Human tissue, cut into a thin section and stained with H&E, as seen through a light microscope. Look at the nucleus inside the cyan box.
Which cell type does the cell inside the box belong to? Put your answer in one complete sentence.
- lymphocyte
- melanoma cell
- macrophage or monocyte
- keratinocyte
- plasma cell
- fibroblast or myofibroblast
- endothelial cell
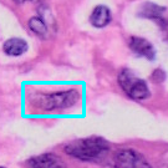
Histopathologically, the cell inside the box is a macrophage or monocyte.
